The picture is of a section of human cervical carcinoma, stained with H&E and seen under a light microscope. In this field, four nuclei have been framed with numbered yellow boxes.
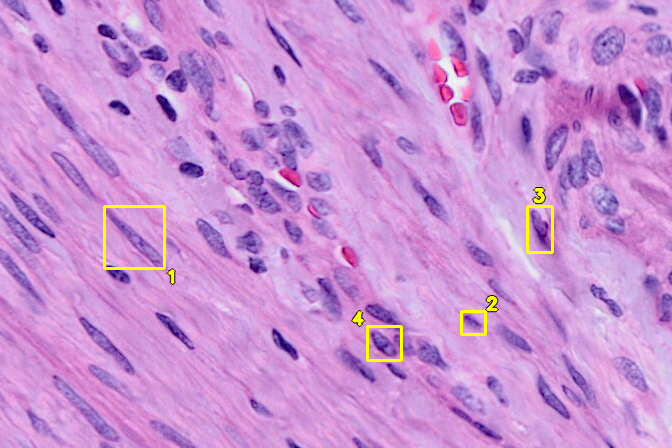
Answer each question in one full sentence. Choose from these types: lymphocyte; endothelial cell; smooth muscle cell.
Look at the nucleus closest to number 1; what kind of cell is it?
Number 1 lies closest to the nucleus of a lymphocyte.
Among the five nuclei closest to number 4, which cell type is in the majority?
Around number 4, most of the five nearest nuclei are those of endothelial cells.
